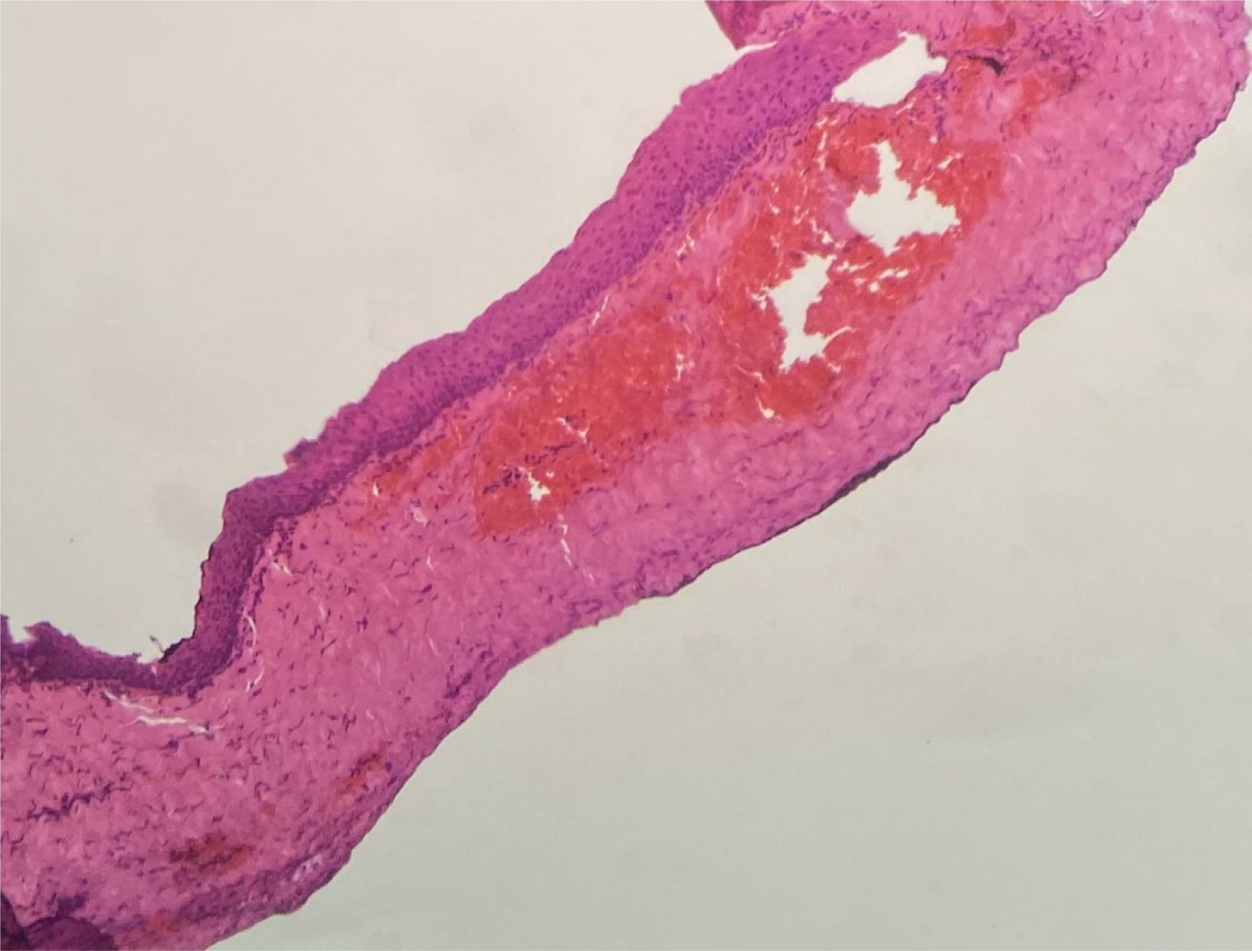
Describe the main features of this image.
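This is a strip of cyst wall, lined along one side by stratified squamous epithelium that sits on fibrous connective tissue. The epithelium is a purple band several cells thick, its nuclei densely packed. The cells of this band appear to pass into the surface without a distinct dark-granular layer. Beneath it, the connective tissue is pink and fibrillar, with scattered slender, wavy nuclei. Within the connective tissue there is a large patch of bright red material, with small empty clefts in it.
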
